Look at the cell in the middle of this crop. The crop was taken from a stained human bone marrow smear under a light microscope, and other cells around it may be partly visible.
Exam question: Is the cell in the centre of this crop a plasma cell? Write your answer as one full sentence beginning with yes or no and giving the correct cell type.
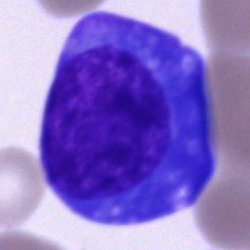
Yes, the cell of interest in the centre is a plasma cell.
